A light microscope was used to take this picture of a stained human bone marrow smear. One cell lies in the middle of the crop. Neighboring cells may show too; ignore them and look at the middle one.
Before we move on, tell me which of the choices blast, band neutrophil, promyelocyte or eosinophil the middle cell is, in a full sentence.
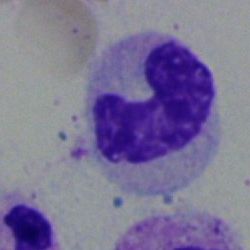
Classified as a band neutrophil is the cell in the middle of this crop.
